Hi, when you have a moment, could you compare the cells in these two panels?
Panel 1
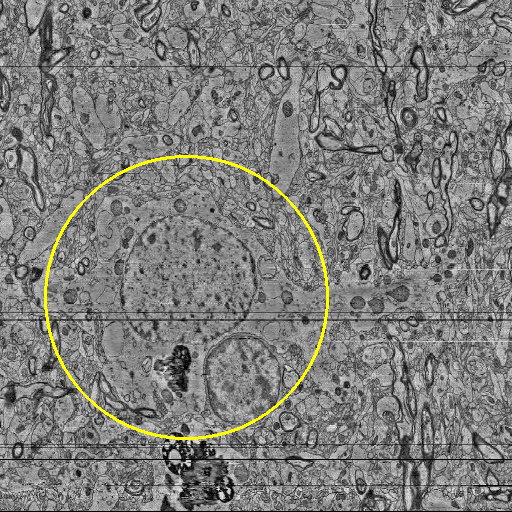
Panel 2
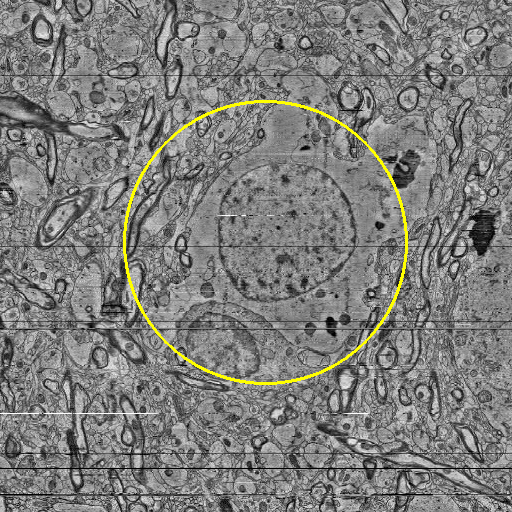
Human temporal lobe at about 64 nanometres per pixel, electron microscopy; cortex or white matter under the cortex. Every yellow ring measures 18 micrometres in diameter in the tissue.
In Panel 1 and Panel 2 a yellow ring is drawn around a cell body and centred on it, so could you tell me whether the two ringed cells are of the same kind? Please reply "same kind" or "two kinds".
same kind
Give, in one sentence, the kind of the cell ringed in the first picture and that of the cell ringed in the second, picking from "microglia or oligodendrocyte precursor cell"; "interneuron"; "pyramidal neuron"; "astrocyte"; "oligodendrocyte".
In each of the two pictures, the ringed cell is an astrocyte.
